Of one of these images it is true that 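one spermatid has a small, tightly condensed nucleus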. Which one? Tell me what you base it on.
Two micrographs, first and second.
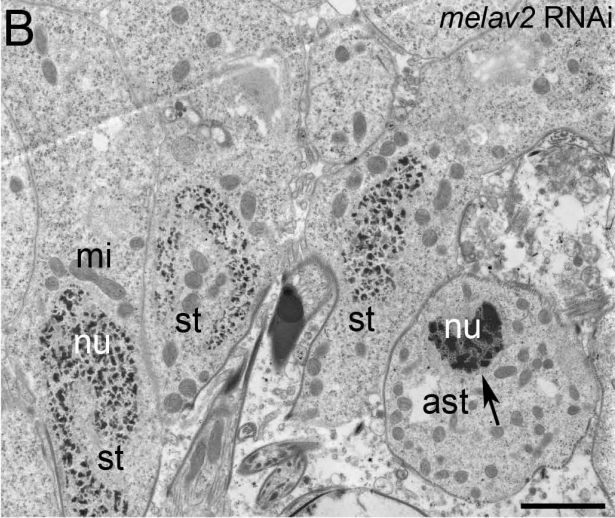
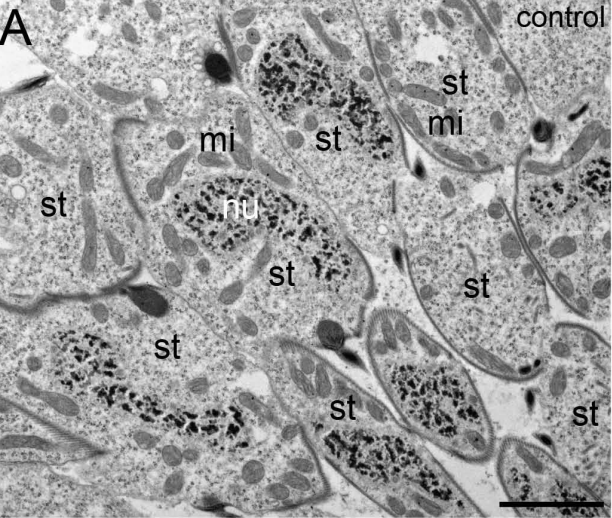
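Second image: all nuclei show loose, granular chromatin clumps spread through an elongated nucleus. The answer: the first image.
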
